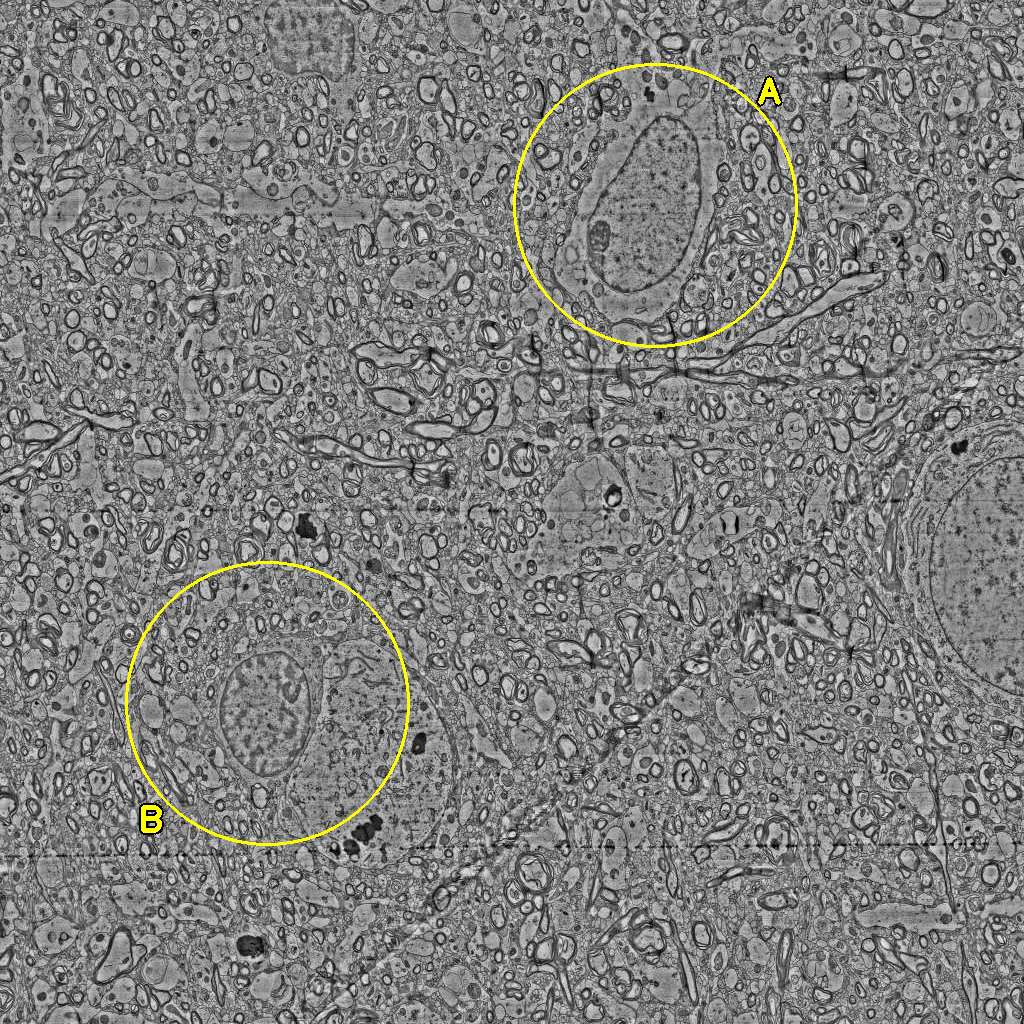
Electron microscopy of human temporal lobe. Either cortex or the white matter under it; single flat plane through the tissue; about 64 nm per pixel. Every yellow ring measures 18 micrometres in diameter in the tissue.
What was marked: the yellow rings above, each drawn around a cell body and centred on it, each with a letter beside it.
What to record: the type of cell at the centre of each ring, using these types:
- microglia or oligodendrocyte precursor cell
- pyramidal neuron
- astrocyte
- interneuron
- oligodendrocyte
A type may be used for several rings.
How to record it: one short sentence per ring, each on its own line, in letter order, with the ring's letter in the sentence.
Centred in ring A is an astrocyte.
Centred in ring B is an oligodendrocyte.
